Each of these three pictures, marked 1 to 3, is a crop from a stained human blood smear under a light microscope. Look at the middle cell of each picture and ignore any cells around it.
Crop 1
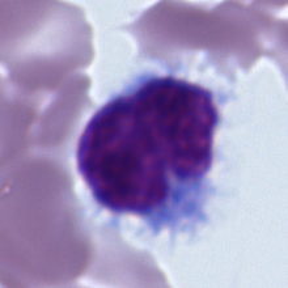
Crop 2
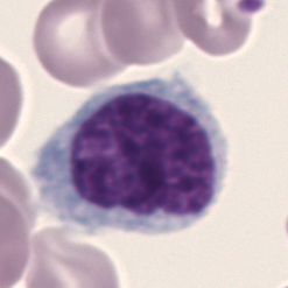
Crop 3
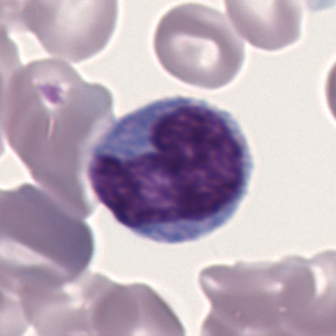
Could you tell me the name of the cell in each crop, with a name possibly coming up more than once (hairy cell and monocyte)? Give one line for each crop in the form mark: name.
1: hairy cell
2: monocyte
3: monocyte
